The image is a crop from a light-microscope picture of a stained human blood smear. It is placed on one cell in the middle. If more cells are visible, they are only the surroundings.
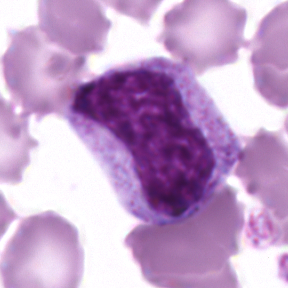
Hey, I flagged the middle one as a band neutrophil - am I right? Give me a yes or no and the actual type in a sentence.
No, the central cell is not to be called a band neutrophil, being a metamyelocyte.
